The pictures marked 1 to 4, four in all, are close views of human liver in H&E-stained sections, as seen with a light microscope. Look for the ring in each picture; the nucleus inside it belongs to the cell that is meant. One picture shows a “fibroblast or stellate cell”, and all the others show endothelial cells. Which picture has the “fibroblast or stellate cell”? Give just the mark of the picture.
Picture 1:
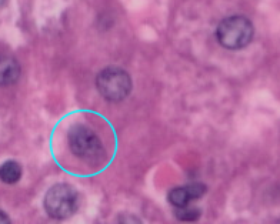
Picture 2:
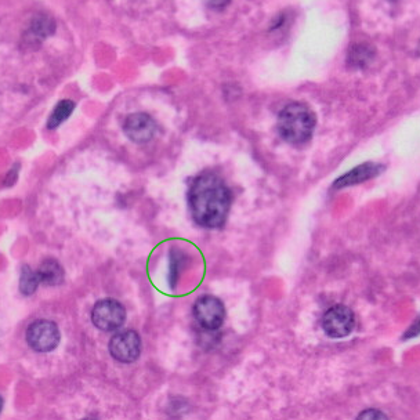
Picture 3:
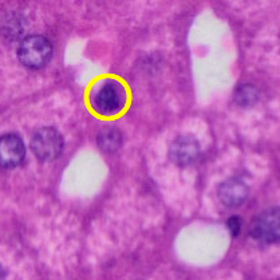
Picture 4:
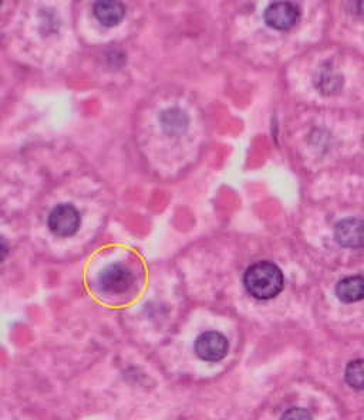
3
